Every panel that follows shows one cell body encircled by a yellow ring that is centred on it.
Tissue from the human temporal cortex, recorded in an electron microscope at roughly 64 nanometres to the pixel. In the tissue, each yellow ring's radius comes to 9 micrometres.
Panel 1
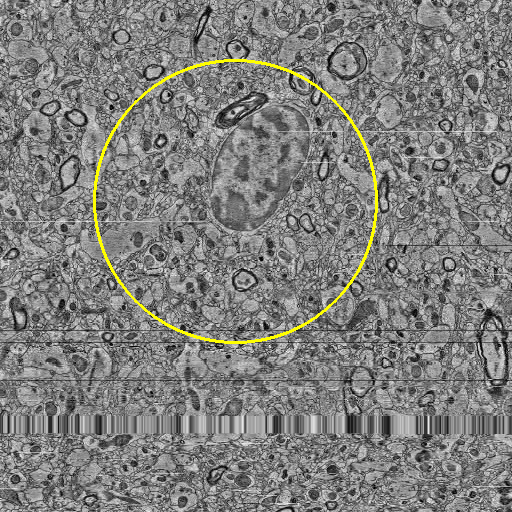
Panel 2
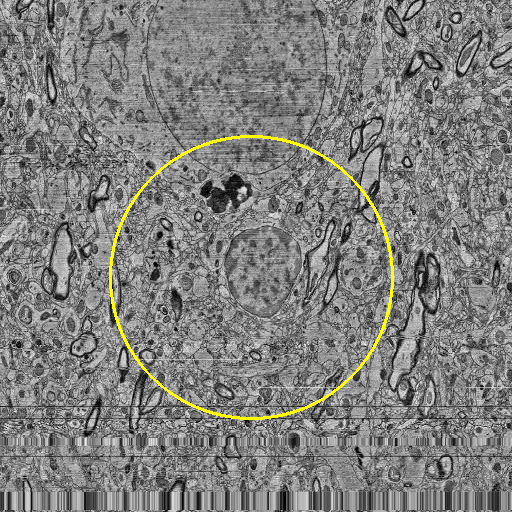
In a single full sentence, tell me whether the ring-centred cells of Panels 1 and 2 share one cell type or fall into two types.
In Panel 1 and Panel 2, the cells at the ring centres share one cell type.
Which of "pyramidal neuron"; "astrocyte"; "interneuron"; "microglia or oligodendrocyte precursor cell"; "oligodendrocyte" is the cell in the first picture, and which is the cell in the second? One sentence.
The ring centre holds a microglial cell or oligodendrocyte precursor cell in each of the two pictures.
